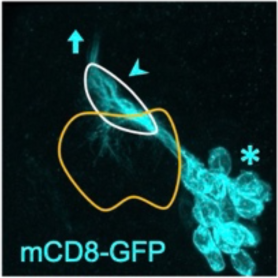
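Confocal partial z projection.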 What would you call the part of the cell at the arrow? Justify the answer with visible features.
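Axons. A thin bundle of fibers leaves the upper left of the panel.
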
